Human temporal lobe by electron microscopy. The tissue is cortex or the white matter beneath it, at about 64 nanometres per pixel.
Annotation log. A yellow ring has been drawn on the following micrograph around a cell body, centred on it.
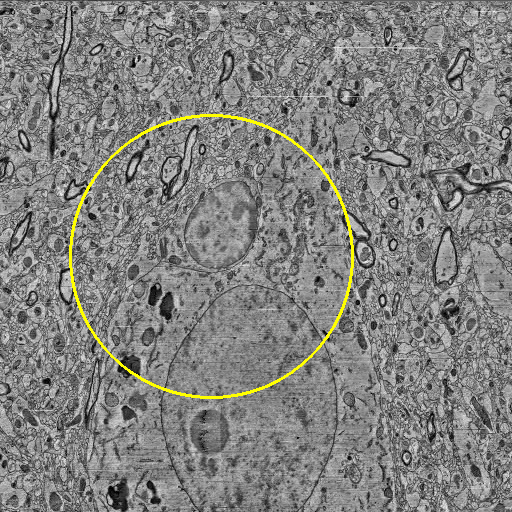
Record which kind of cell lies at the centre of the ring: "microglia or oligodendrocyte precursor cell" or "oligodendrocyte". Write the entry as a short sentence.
The cell the ring is centred on is an oligodendrocyte.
